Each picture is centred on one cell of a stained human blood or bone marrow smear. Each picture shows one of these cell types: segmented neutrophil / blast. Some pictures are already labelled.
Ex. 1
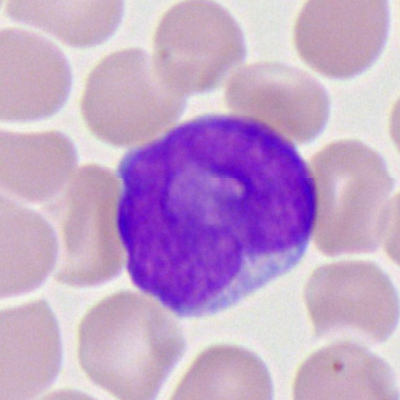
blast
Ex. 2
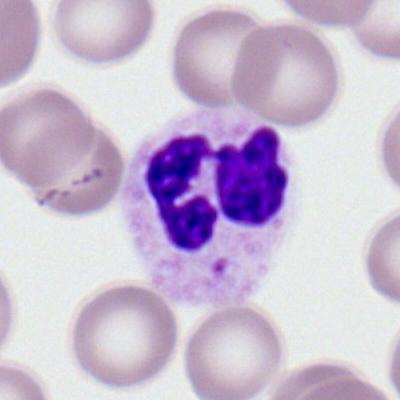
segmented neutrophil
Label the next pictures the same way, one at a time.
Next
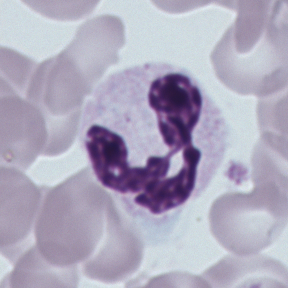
segmented neutrophil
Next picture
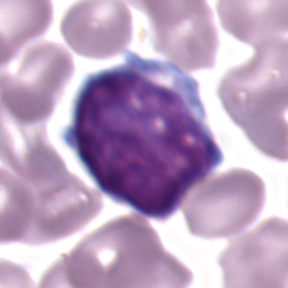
blast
